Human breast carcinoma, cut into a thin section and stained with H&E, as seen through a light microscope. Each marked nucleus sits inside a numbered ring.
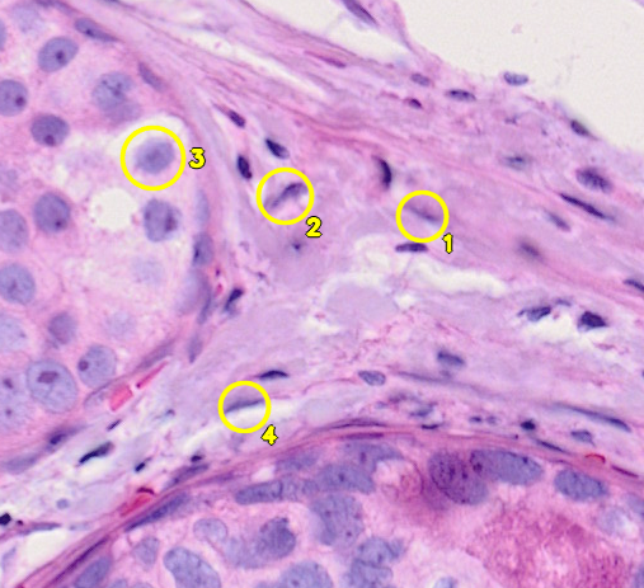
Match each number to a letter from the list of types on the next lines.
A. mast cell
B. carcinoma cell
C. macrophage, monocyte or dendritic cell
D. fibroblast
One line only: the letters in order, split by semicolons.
D; D; B; D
